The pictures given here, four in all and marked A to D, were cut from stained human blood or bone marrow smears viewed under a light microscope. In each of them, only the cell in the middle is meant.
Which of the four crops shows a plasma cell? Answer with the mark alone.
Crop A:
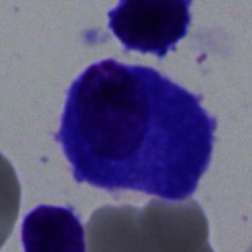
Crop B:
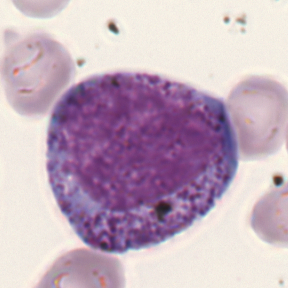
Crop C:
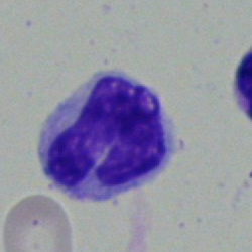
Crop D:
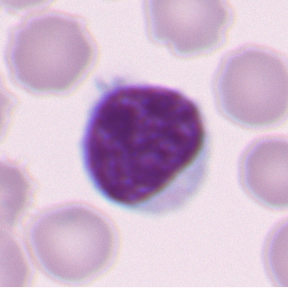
A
